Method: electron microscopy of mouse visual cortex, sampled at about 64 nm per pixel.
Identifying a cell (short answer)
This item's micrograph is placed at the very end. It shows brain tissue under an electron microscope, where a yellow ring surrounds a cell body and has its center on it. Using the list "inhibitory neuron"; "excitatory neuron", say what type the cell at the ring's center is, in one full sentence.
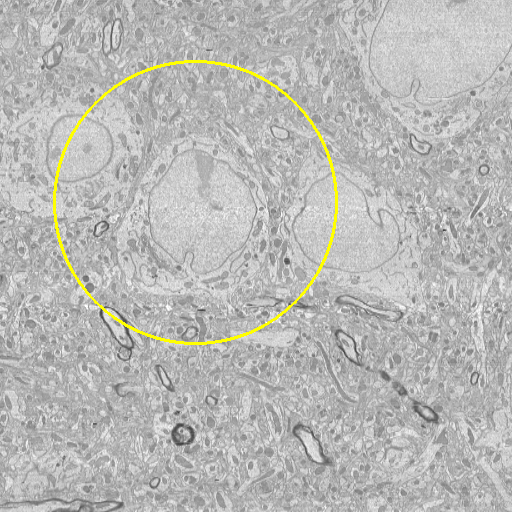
This picture shows an inhibitory neuron at the center of the yellow ring drawn on it.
